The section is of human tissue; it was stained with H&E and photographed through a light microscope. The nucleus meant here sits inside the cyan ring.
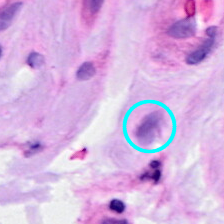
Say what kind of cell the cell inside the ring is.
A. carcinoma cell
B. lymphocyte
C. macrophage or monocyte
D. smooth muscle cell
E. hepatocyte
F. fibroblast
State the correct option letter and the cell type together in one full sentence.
It is option F that correctly calls the cell inside the ring a fibroblast.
